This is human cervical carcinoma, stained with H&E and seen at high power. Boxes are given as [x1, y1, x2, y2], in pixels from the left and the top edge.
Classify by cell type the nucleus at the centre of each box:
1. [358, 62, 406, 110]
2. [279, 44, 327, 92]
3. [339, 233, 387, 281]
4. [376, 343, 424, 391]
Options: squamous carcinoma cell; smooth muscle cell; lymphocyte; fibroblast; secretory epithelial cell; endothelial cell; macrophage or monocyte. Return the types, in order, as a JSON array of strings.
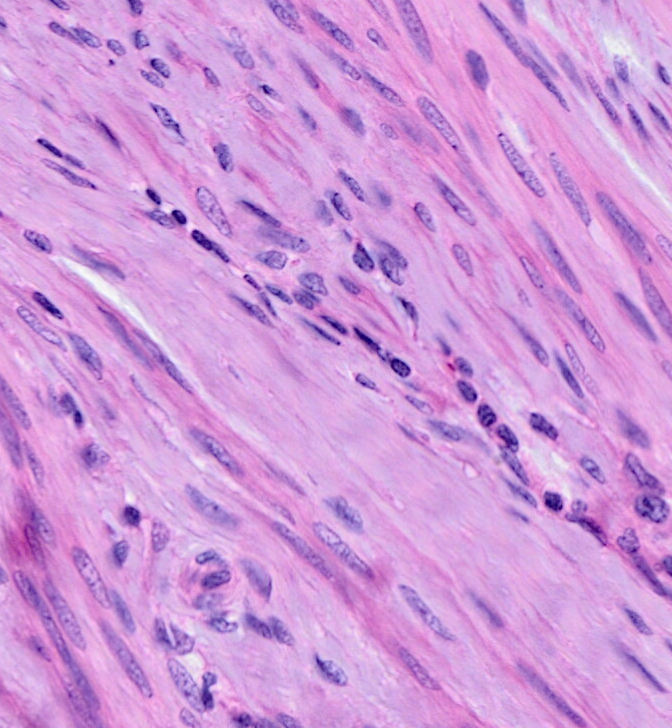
["smooth muscle cell", "smooth muscle cell", "lymphocyte", "lymphocyte"]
